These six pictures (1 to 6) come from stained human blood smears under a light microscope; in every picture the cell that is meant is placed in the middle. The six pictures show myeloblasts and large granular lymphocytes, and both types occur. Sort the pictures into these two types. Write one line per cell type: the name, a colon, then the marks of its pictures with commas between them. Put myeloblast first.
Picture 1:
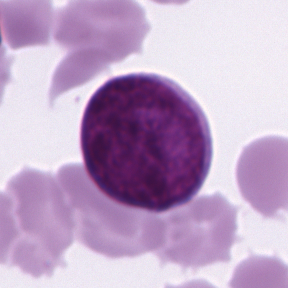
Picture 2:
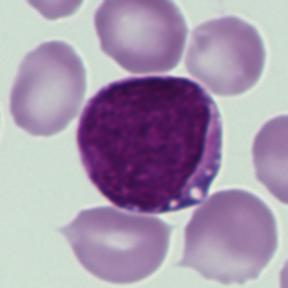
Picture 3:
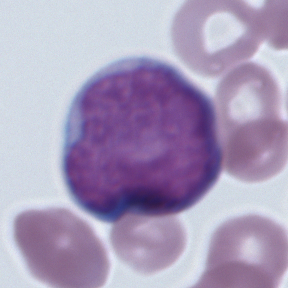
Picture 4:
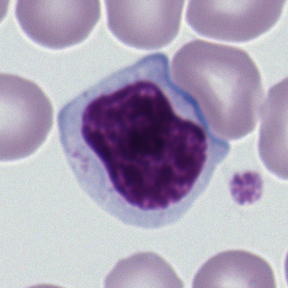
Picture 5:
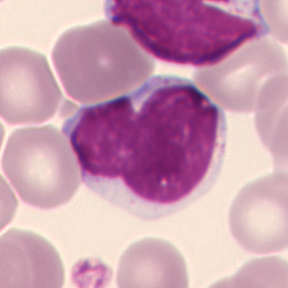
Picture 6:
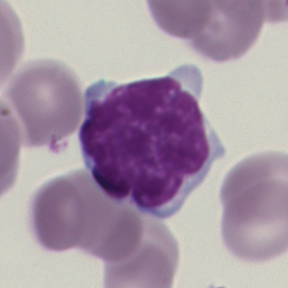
myeloblast: 1, 2, 3
large granular lymphocyte: 4, 5, 6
